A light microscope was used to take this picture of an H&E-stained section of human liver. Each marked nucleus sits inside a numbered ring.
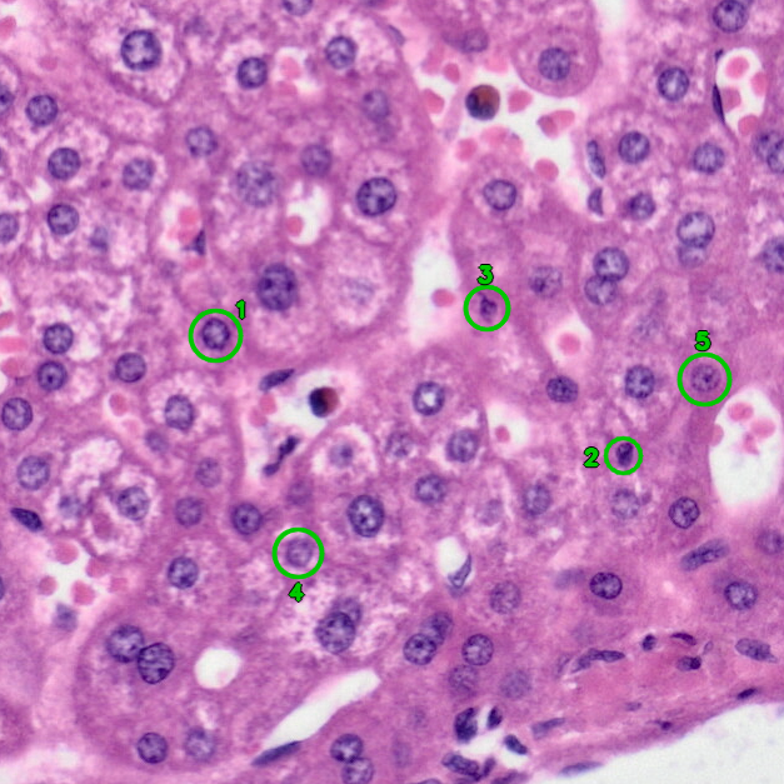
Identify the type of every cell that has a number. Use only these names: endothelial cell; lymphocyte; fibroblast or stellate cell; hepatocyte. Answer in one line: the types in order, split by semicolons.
hepatocyte; fibroblast or stellate cell; fibroblast or stellate cell; hepatocyte; hepatocyte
